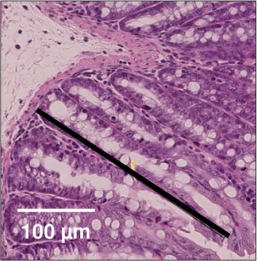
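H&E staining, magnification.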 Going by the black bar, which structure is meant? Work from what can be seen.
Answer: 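The black line spans the full height of long parallel tubular glands. The glands are lined by epithelium containing many clear goblet cells. On this evidence: crypt.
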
